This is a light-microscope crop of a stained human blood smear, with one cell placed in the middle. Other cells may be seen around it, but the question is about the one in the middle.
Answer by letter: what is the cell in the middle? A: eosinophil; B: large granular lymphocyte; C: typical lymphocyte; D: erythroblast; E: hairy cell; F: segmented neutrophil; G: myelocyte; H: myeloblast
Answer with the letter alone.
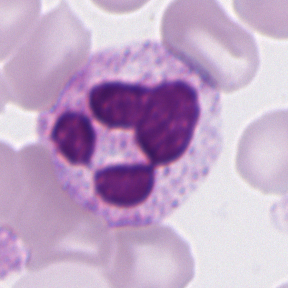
F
